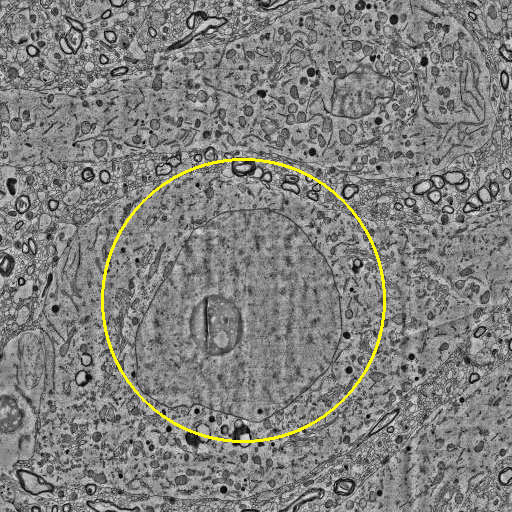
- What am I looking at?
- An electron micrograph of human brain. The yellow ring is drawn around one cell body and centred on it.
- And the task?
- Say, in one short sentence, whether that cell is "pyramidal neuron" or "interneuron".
The cell in the middle of the ring is a pyramidal neuron.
